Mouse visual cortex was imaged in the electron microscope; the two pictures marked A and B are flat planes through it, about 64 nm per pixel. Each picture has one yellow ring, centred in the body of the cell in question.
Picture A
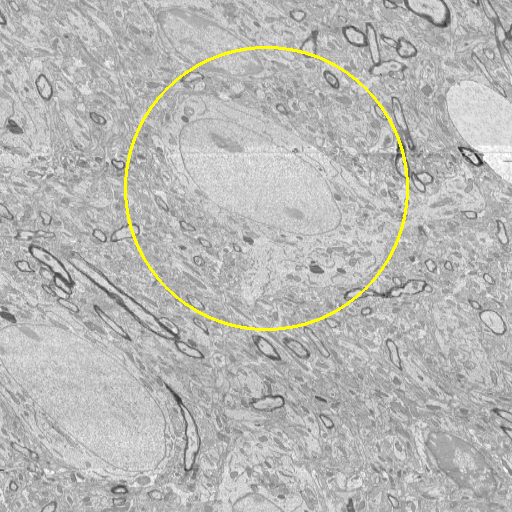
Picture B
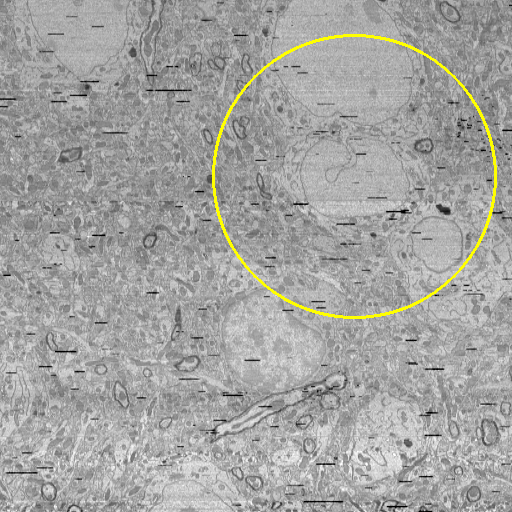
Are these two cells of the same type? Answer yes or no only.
no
